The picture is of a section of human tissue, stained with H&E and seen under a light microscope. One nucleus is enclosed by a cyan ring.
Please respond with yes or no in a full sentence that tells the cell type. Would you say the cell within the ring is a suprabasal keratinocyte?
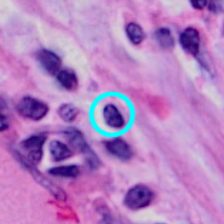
No, the cell within the ring is identified as a lymphocyte and not as a suprabasal keratinocyte.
